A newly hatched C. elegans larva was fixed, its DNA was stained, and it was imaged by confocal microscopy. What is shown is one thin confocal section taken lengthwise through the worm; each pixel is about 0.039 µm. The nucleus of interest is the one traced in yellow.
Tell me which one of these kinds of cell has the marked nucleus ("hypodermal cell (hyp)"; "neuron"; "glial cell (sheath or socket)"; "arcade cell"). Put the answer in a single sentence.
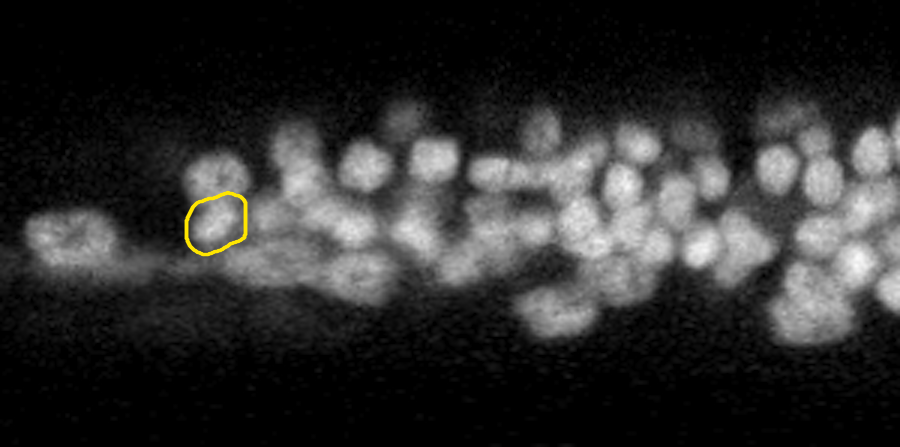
It belongs to an arcade cell.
